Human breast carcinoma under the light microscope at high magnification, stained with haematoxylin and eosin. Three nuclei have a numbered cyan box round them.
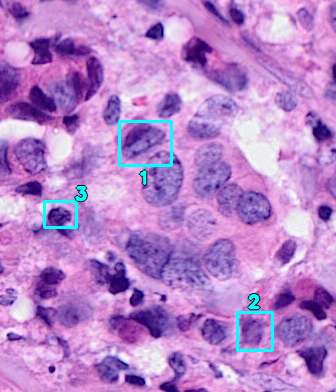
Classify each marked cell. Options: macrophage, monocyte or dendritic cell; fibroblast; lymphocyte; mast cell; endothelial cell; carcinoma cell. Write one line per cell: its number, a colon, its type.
1: carcinoma cell
2: carcinoma cell
3: lymphocyte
